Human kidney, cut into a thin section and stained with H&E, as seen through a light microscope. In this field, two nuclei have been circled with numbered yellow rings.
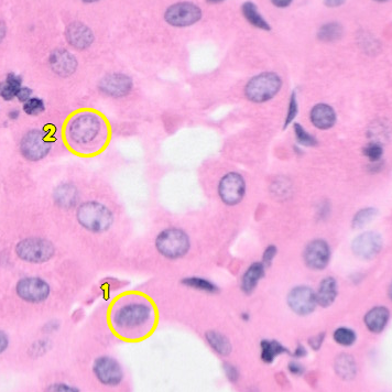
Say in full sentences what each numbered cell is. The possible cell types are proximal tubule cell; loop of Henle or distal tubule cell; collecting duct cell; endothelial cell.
Cell 1 is a loop of Henle or distal tubule cell. Cell 2 is a proximal tubule cell.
